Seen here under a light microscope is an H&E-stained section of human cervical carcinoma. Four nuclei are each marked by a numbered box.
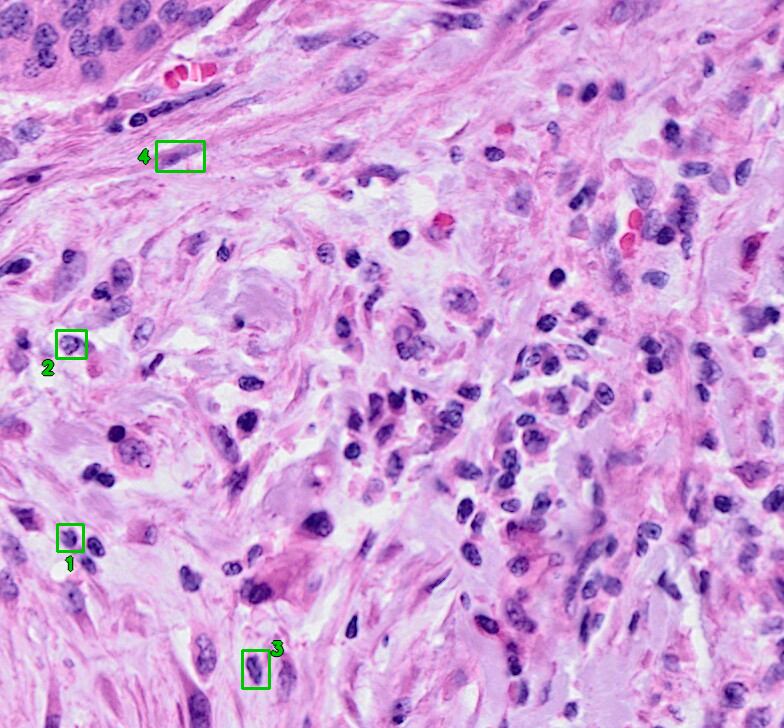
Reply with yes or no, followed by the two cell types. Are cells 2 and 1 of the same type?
Yes, the cell marked 2 and the cell marked 1 are both lymphocytes.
